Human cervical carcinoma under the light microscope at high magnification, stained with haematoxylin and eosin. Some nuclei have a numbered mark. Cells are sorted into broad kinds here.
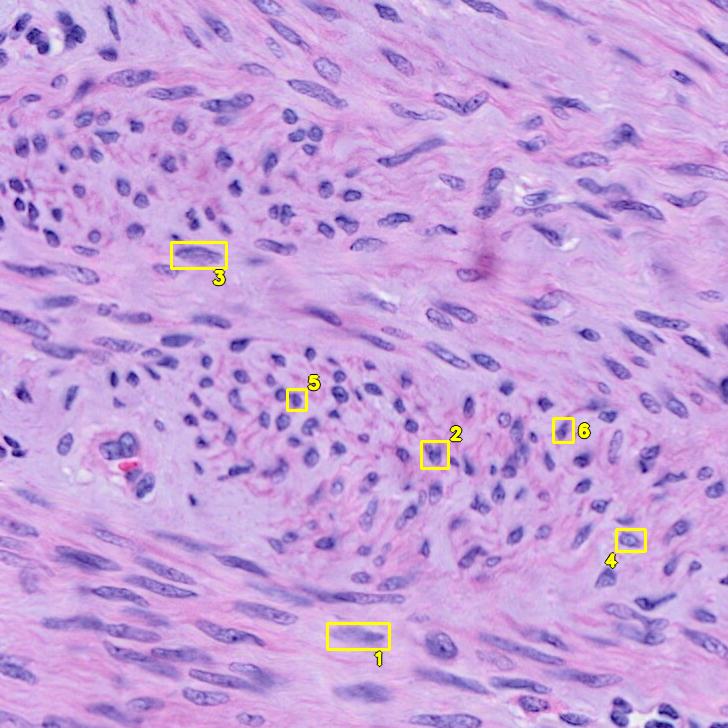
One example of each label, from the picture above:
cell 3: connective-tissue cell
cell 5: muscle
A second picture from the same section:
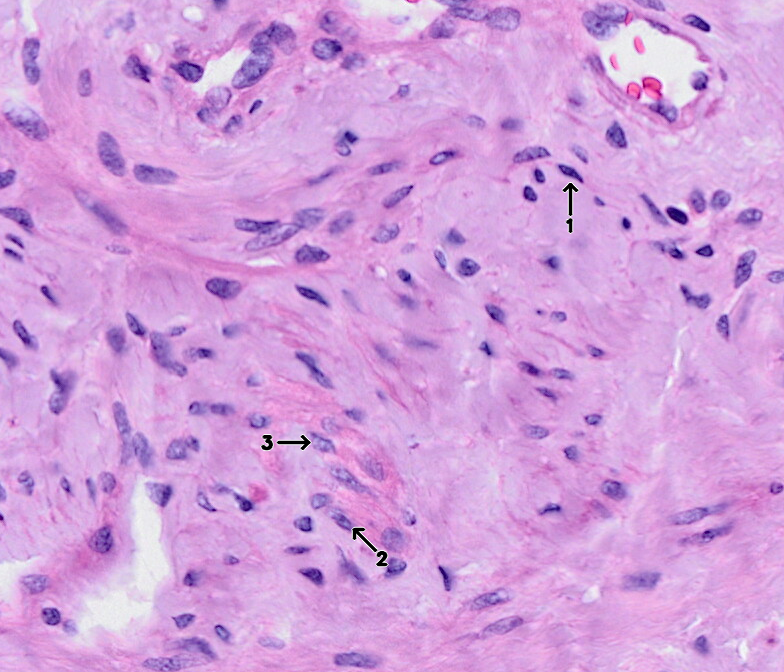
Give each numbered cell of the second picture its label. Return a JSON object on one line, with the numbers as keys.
{"1": "connective-tissue cell", "2": "muscle", "3": "muscle"}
